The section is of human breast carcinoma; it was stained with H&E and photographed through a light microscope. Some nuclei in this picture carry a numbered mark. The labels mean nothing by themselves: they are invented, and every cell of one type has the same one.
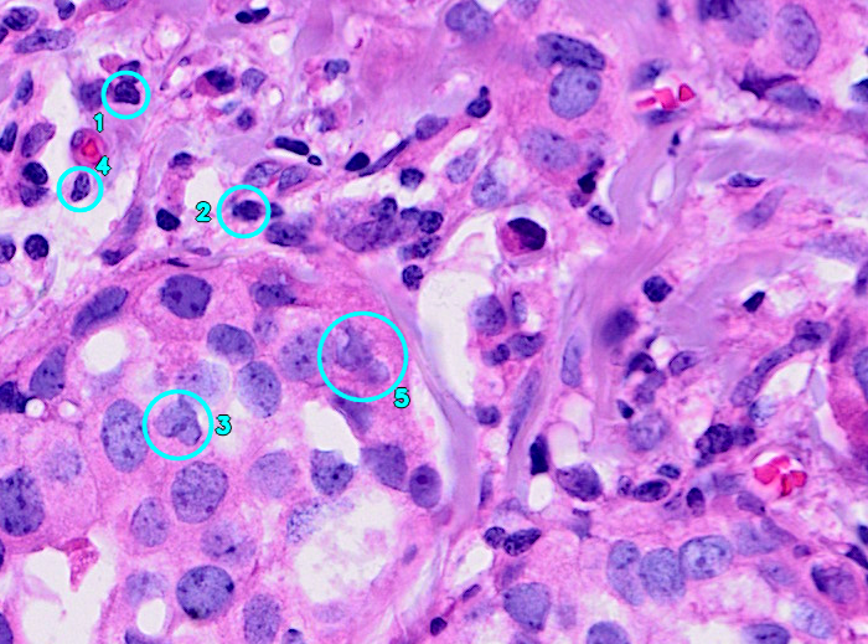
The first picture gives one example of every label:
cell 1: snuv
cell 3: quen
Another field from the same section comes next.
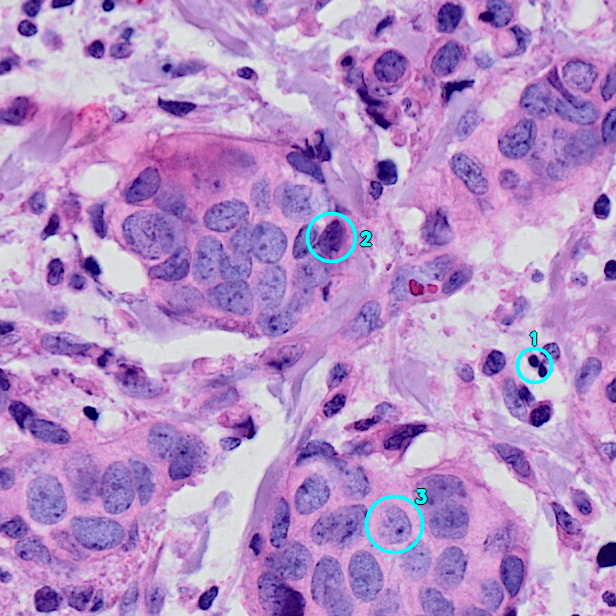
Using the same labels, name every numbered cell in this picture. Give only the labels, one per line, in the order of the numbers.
snuv
quen
quen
